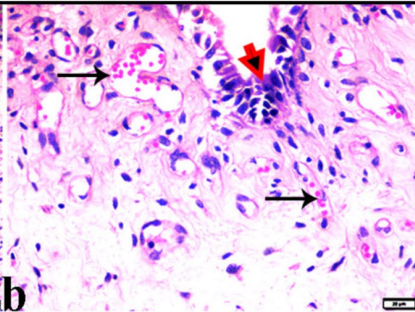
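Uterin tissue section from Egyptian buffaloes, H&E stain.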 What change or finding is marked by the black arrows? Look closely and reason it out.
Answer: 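Vessels at the arrows are filled with red-staining red blood cells.
Hence: vascular congestion.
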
